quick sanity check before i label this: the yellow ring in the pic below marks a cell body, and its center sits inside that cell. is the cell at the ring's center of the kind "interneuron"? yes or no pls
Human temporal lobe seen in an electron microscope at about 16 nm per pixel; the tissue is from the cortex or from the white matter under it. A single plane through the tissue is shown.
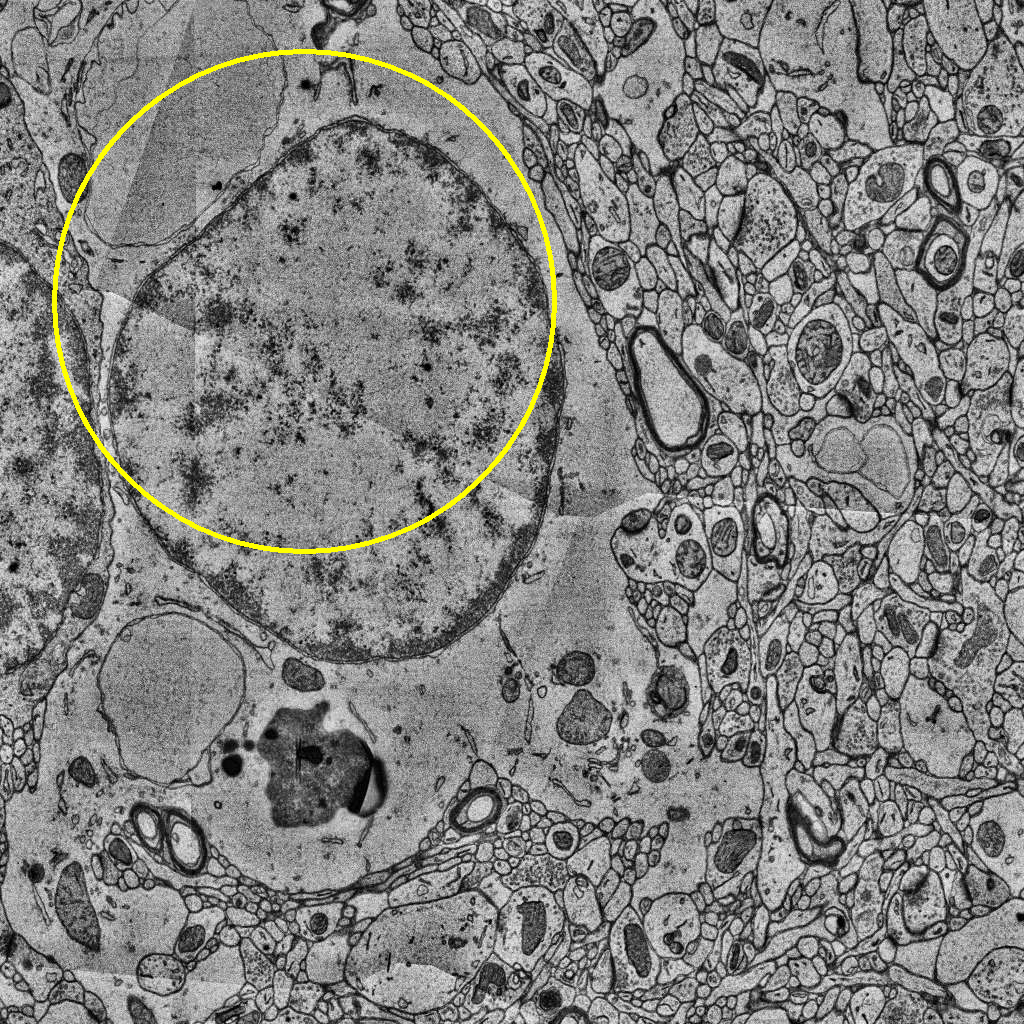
no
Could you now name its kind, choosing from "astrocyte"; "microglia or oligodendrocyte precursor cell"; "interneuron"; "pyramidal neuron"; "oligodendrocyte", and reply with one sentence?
The cell at the middle of the ring is an astrocyte.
